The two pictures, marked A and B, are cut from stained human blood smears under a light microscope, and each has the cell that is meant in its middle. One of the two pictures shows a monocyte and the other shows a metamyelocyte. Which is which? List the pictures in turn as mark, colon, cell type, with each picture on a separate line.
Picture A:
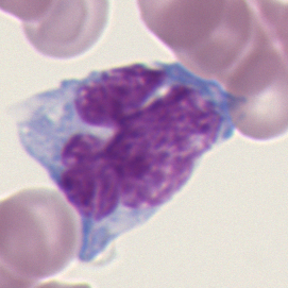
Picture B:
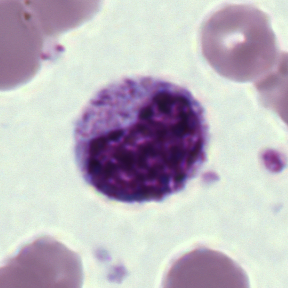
A: monocyte
B: metamyelocyte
